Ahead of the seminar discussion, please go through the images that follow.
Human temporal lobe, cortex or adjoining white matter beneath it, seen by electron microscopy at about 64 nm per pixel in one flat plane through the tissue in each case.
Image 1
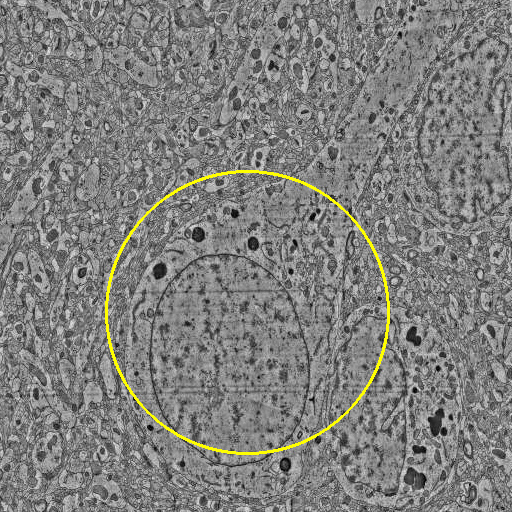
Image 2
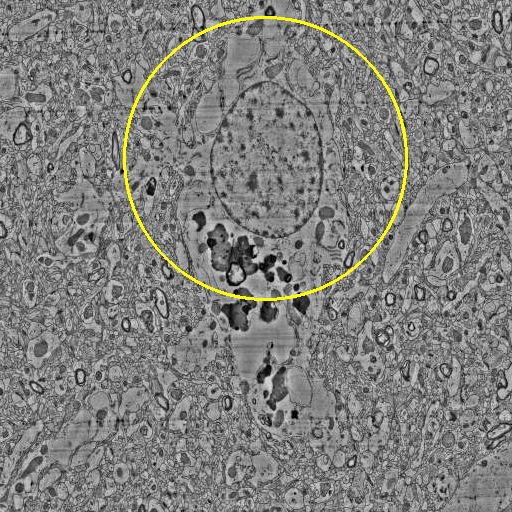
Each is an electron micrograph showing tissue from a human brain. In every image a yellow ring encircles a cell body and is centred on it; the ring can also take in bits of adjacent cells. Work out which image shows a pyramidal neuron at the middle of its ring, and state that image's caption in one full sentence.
In Image 1, the ring's centre holds the cell you are looking for.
